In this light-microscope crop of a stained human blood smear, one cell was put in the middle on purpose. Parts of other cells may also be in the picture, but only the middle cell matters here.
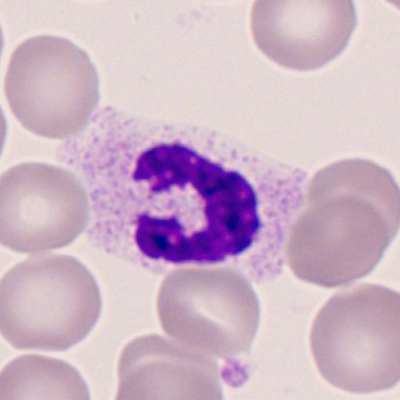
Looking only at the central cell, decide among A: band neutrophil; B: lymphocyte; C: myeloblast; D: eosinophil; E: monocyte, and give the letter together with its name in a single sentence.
Since the cell in the middle is a band neutrophil, option A is correct.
